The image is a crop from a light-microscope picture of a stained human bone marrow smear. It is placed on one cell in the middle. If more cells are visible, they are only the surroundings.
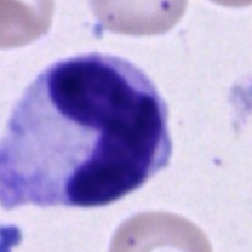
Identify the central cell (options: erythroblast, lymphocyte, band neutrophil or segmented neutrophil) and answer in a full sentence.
The cell the crop is centered on is a band neutrophil.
